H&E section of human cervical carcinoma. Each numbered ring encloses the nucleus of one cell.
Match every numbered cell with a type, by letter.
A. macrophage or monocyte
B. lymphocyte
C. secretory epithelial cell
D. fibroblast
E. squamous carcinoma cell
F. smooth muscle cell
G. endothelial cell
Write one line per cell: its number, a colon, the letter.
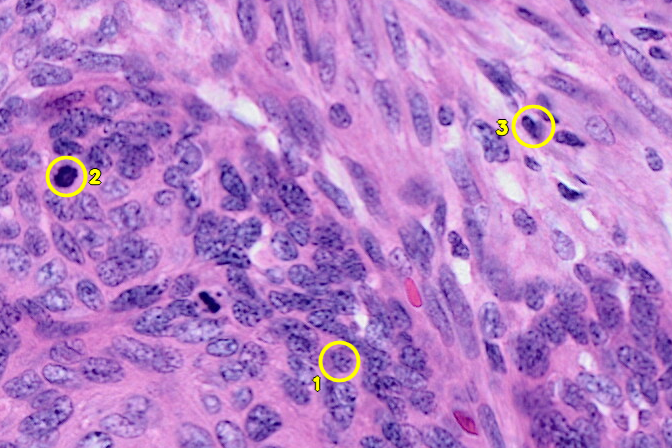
1: E
2: E
3: B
